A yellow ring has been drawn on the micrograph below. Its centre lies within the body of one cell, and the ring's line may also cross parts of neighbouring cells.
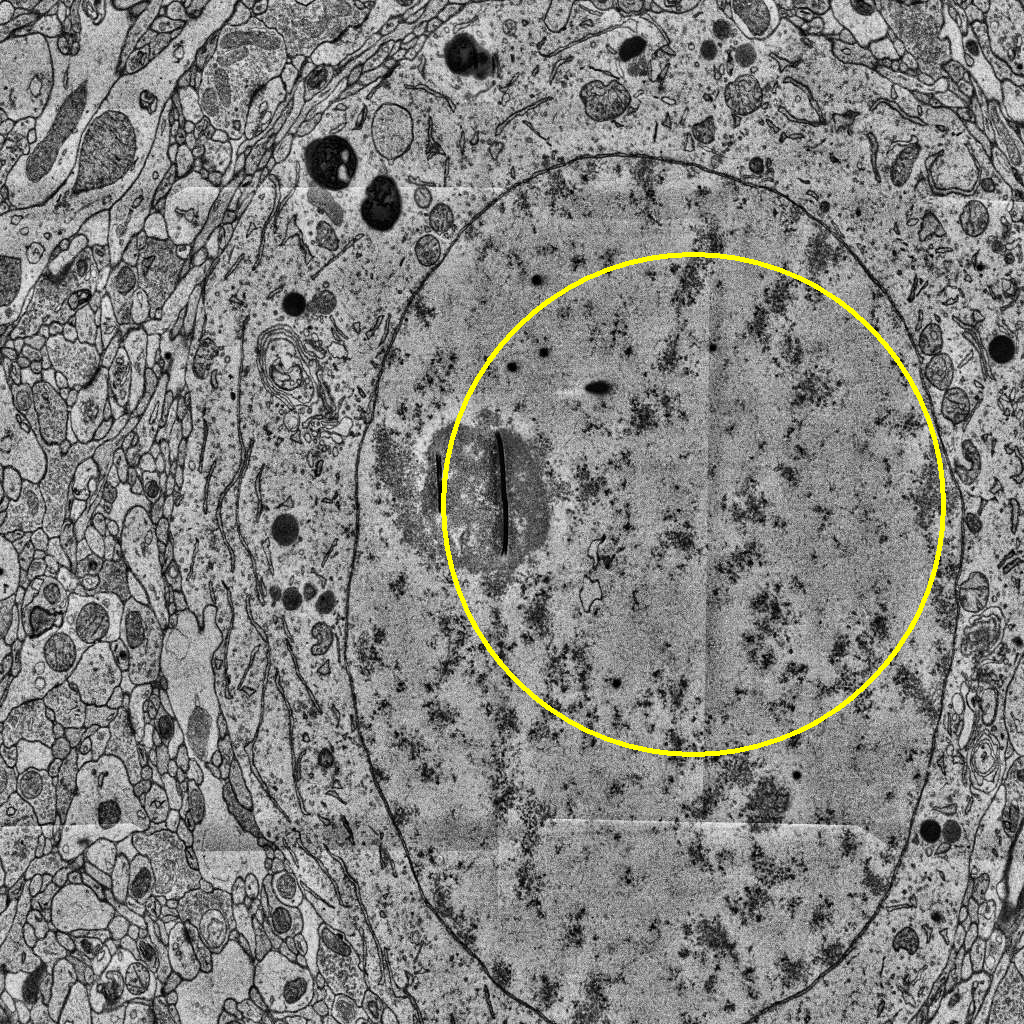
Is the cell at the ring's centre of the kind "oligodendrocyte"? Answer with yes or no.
no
